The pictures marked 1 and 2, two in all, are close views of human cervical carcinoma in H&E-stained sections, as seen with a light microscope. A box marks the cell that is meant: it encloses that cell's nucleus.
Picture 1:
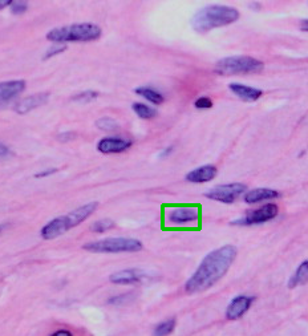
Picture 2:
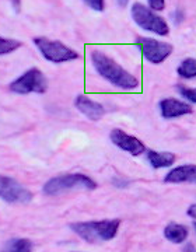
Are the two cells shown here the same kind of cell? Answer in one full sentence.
Yes; the cells in both pictures are fibroblasts.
